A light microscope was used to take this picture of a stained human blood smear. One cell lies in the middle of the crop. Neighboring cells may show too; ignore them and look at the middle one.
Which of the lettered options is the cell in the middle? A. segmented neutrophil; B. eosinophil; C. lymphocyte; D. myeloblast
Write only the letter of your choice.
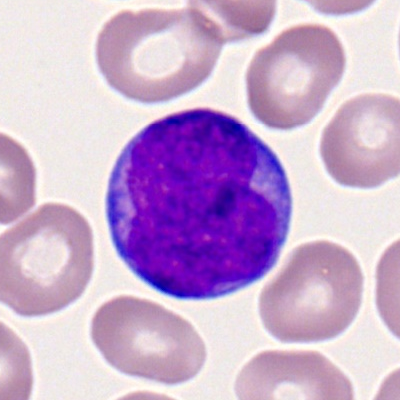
D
